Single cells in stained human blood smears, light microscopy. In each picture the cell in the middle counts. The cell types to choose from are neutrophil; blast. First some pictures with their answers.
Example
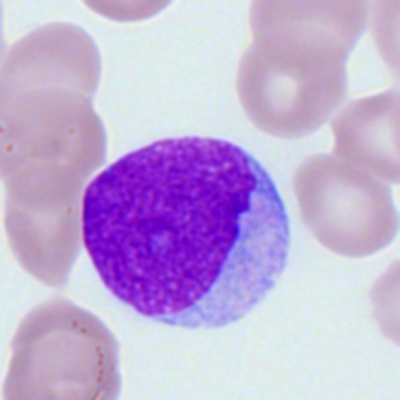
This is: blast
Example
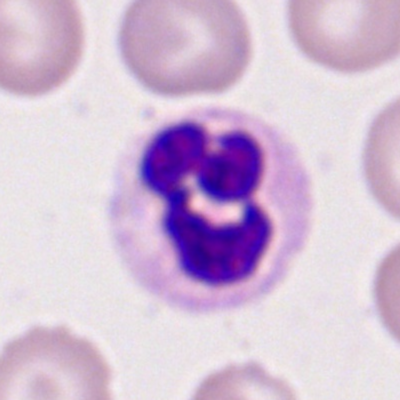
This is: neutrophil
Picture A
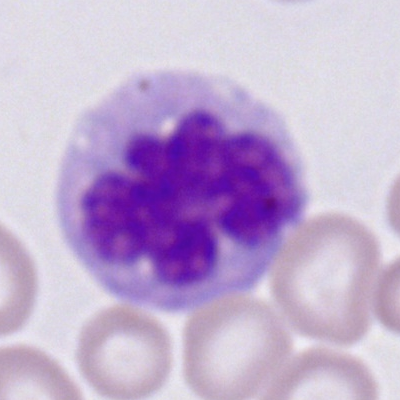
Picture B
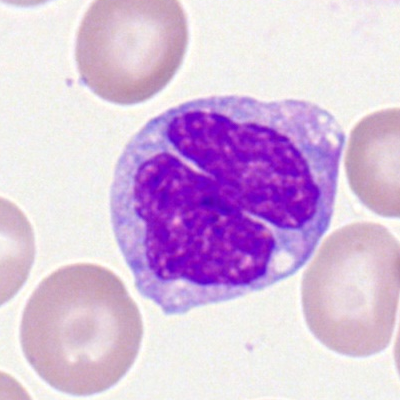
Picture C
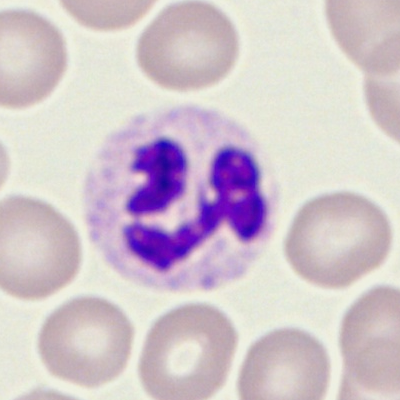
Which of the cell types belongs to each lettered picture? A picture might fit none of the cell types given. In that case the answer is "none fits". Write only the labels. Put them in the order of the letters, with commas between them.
none fits, none fits, neutrophil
